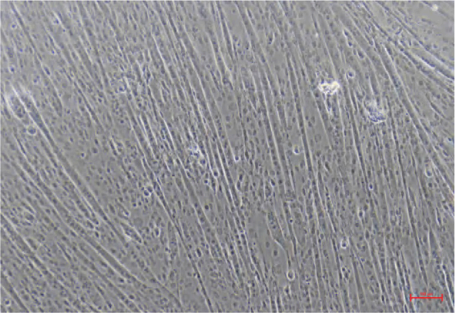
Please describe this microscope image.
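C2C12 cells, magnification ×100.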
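The culture is made up of long, thin multinucleated myotubes running across the field. They lie side by side in parallel, neatly bundled streams, nearly all in the same diagonal direction.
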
